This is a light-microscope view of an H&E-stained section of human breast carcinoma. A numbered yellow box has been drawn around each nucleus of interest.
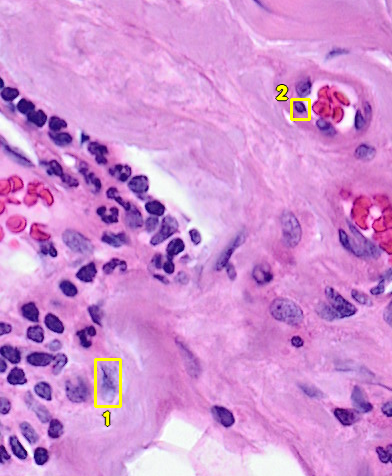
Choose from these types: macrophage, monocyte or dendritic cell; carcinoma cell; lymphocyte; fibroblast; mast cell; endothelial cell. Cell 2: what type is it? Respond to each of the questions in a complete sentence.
The cell numbered 2 has been identified as an endothelial cell.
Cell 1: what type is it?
In the marked set, the cell given number 1 is a fibroblast.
